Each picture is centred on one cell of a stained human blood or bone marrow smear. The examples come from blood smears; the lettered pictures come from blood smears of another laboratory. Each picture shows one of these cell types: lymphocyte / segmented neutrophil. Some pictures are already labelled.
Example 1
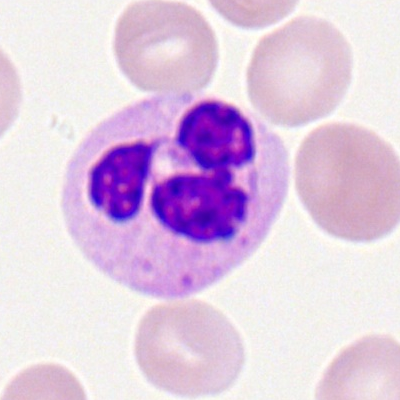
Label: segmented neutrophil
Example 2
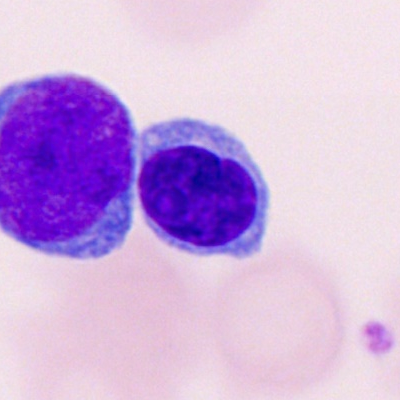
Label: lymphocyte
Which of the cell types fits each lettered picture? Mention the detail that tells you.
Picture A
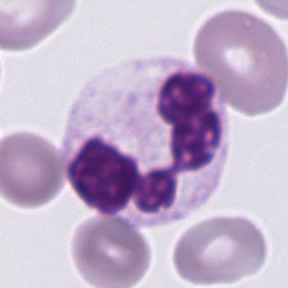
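segmented neutrophil. Evidence: The nucleus is divided into four lobes joined in a chain.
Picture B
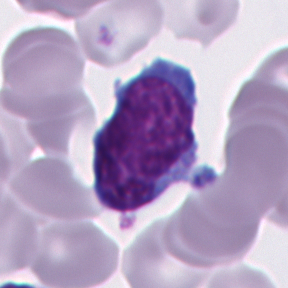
lymphocyte. Evidence: The cytoplasm at the top of the cell is deep blue.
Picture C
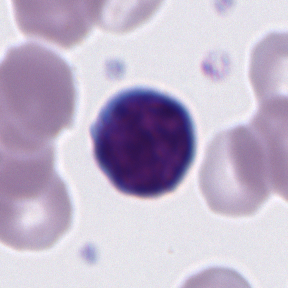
lymphocyte. Evidence: The cytoplasm is only a very thin bluish rim around the nucleus.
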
